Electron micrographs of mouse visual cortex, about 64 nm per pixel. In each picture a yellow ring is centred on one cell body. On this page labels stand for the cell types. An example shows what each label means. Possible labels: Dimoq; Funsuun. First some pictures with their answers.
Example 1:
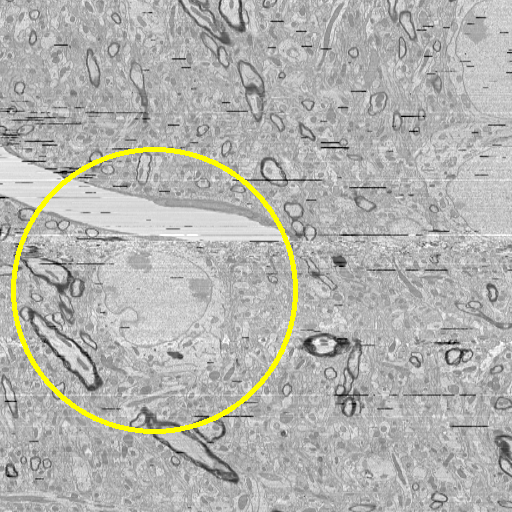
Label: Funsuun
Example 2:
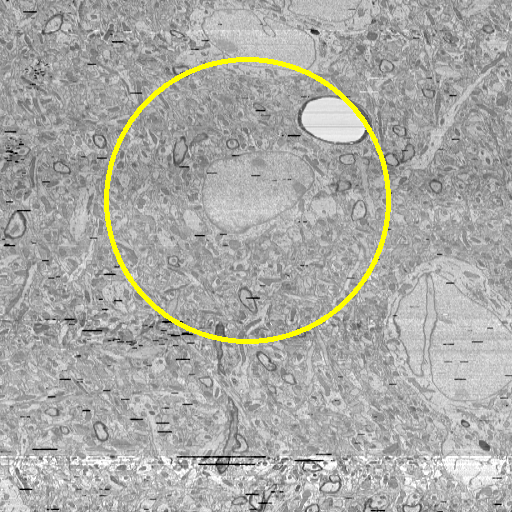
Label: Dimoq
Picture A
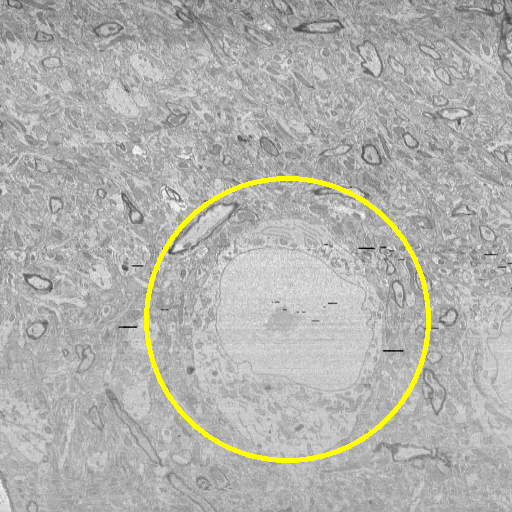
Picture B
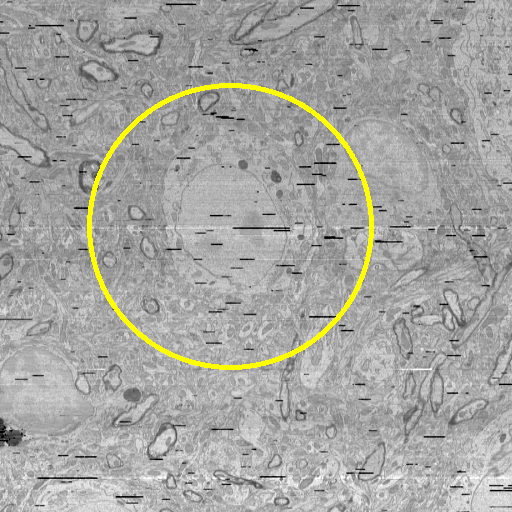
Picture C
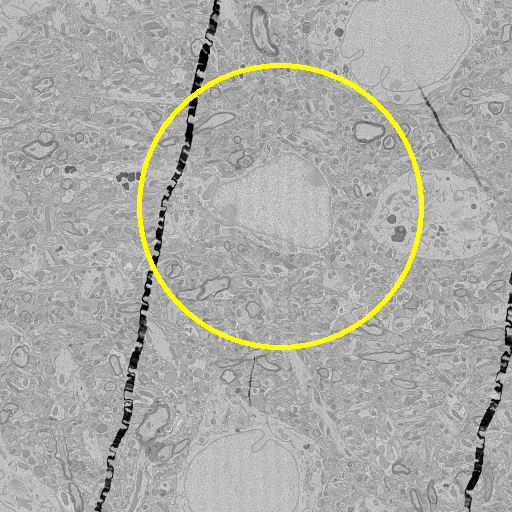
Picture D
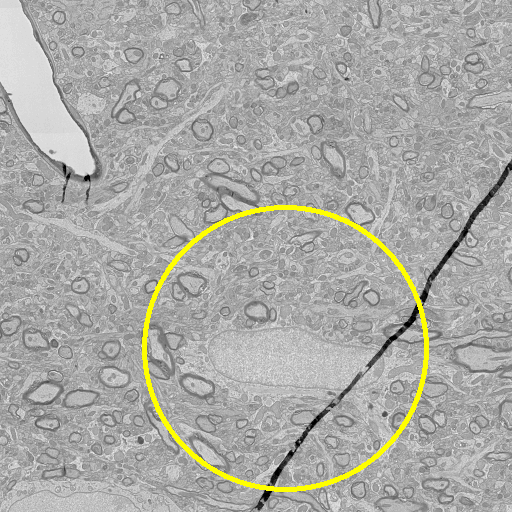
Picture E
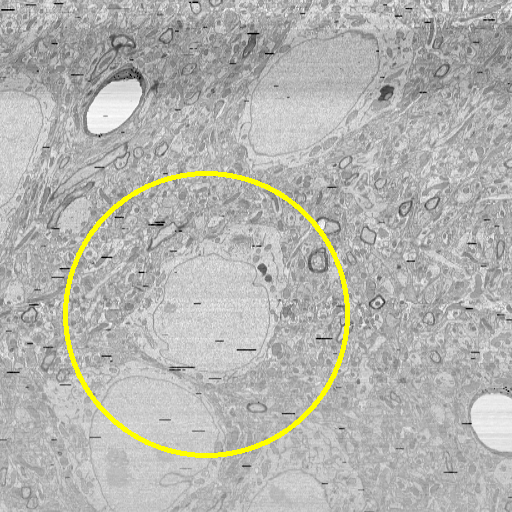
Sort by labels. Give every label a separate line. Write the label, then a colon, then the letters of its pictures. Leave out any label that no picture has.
Dimoq: C, D
Funsuun: A, B, E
